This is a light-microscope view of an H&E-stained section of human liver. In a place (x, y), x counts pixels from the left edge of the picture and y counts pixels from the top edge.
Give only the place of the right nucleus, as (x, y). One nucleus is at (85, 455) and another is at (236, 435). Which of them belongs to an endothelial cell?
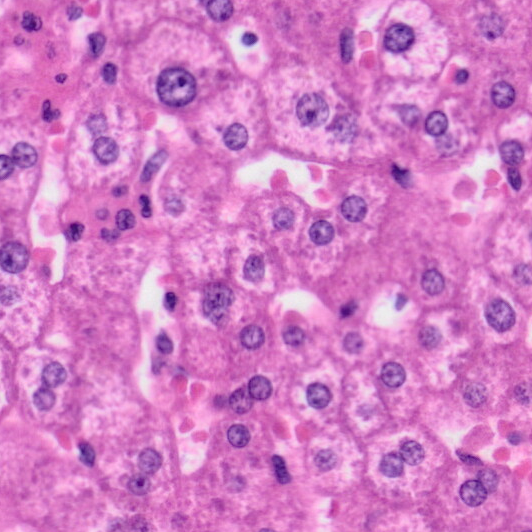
(85, 455)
